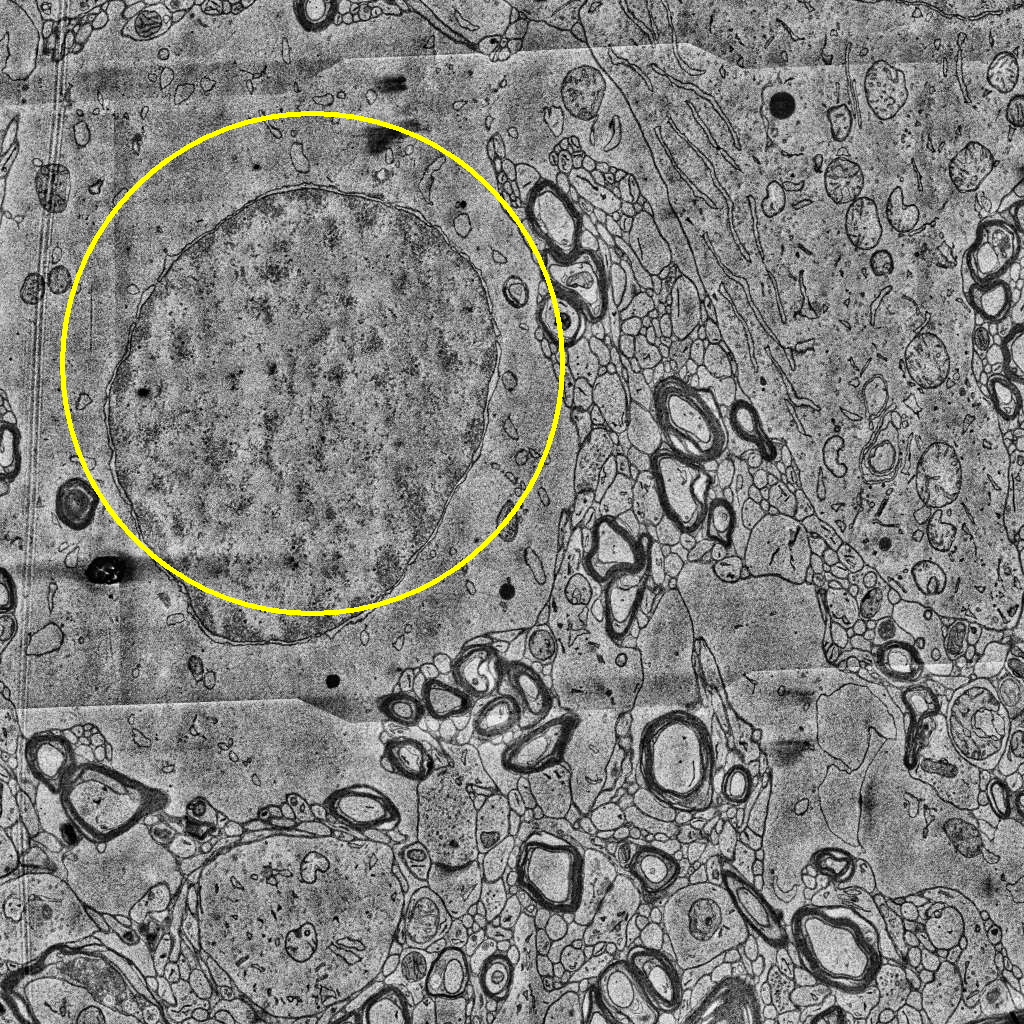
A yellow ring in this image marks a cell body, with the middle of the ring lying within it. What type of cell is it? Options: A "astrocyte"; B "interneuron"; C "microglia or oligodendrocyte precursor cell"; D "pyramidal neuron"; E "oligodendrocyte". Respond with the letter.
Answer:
A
